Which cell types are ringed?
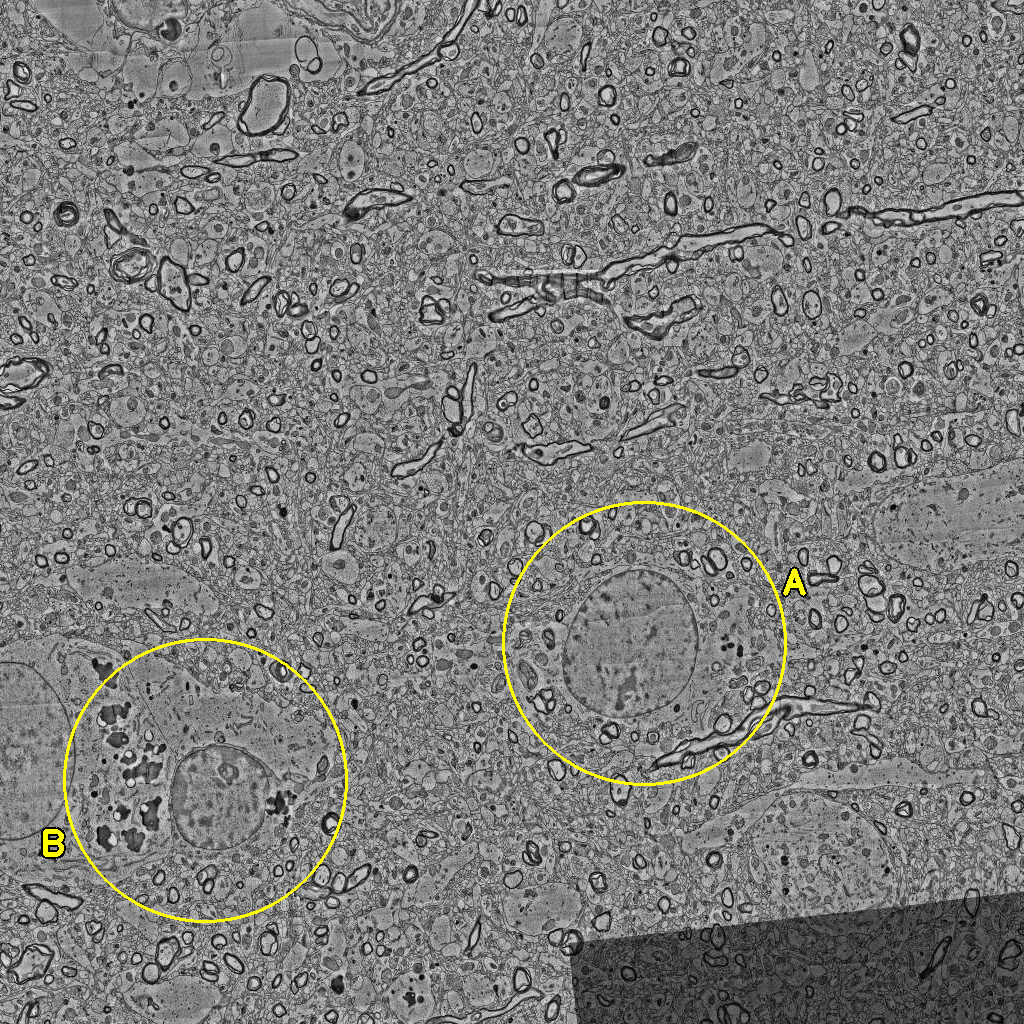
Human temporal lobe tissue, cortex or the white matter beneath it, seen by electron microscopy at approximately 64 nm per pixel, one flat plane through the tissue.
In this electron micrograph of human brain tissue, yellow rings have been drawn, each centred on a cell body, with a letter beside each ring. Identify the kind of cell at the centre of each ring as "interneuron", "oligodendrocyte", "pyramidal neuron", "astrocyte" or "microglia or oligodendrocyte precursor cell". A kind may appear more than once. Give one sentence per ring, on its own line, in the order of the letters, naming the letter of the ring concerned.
Ring A is drawn on an astrocyte.
Ring B is drawn on an oligodendrocyte.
